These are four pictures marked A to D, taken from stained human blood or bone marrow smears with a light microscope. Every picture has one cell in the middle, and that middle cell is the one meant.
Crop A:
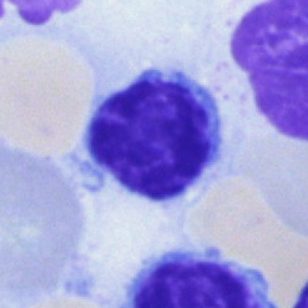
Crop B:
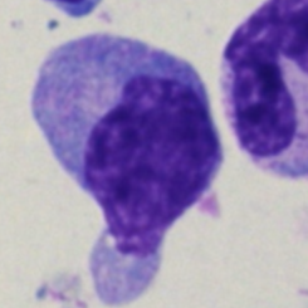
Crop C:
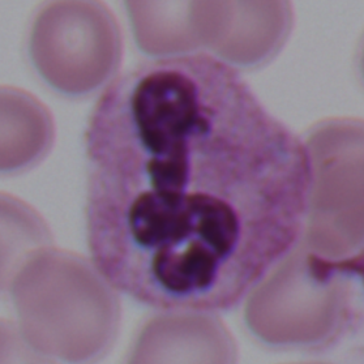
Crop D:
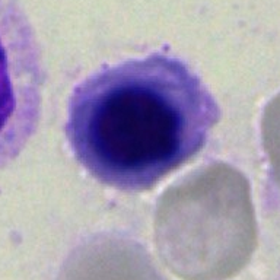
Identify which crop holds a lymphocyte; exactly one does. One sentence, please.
Crop A alone, of all the crops, shows a lymphocyte.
